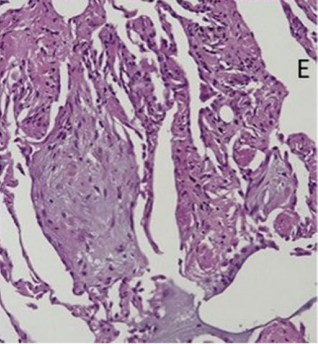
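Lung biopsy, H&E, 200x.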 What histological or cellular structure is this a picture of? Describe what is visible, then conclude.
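Pale, loose oval plugs of spindle cells sit inside airspaces. The spindle cells lie in a light, faintly bluish-grey matrix. On this evidence: Fibroblastic polyps.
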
